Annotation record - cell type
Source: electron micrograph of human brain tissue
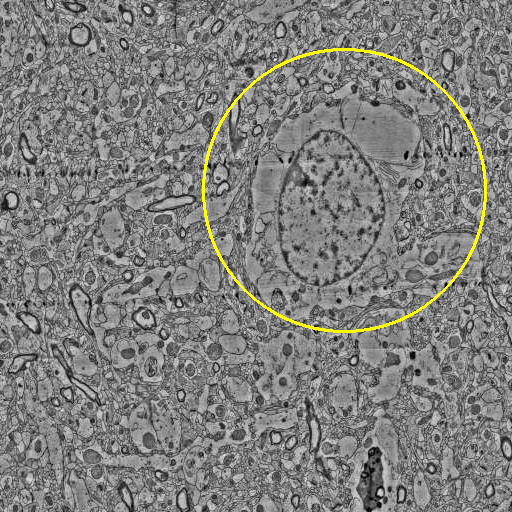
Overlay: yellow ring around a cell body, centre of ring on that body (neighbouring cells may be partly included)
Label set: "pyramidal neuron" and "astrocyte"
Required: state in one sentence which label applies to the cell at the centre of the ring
This cell should be labelled as an astrocyte.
